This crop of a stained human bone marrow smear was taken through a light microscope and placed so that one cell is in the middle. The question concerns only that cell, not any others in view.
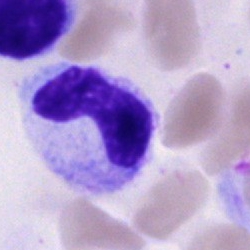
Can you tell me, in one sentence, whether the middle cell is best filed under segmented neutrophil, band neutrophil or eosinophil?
The central cell, amid any neighbouring cells, is a band neutrophil.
